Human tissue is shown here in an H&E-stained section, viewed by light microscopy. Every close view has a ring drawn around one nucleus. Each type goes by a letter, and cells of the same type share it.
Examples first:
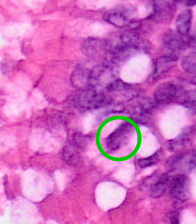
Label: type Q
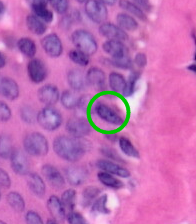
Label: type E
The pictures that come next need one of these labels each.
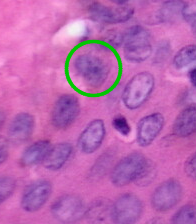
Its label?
type E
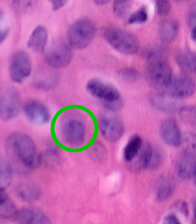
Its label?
type E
